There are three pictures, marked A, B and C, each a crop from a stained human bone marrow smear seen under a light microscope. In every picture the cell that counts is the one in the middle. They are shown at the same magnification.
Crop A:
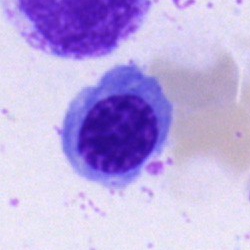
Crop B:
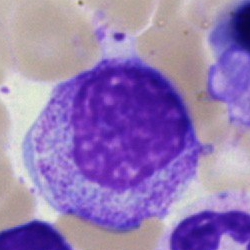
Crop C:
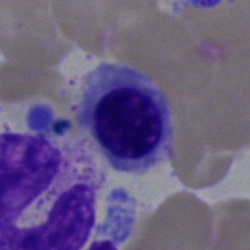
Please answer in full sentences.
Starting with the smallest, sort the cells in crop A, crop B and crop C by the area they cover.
From the smallest up, the order is C, A, B.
